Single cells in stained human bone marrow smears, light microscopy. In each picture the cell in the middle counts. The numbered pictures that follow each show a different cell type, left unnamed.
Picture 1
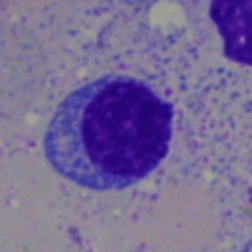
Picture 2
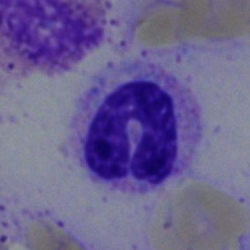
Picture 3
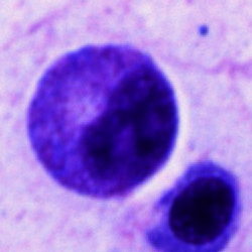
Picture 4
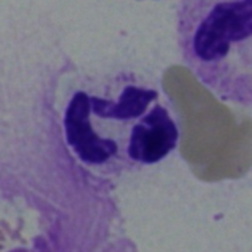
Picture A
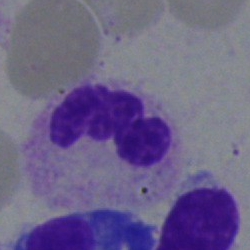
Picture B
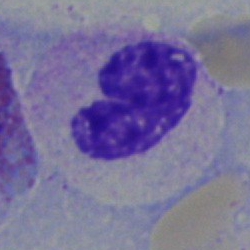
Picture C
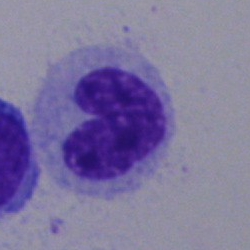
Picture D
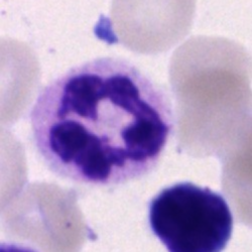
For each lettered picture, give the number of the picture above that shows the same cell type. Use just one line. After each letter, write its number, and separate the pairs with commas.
A 4, B 2, C 2, D 4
